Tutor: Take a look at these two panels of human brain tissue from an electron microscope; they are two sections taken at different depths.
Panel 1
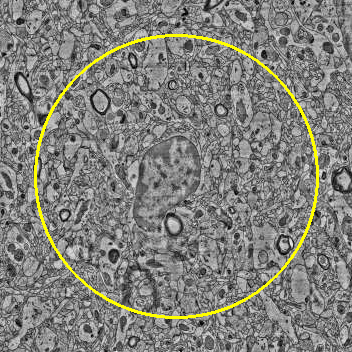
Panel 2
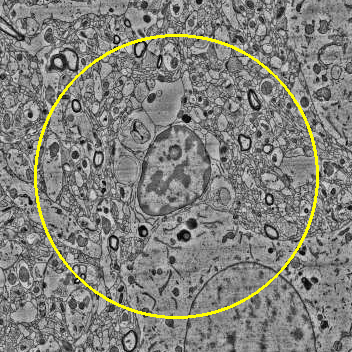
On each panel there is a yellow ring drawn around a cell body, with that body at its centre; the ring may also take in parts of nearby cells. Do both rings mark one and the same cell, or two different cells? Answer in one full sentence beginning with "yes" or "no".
No, the two marked cells are different cells.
